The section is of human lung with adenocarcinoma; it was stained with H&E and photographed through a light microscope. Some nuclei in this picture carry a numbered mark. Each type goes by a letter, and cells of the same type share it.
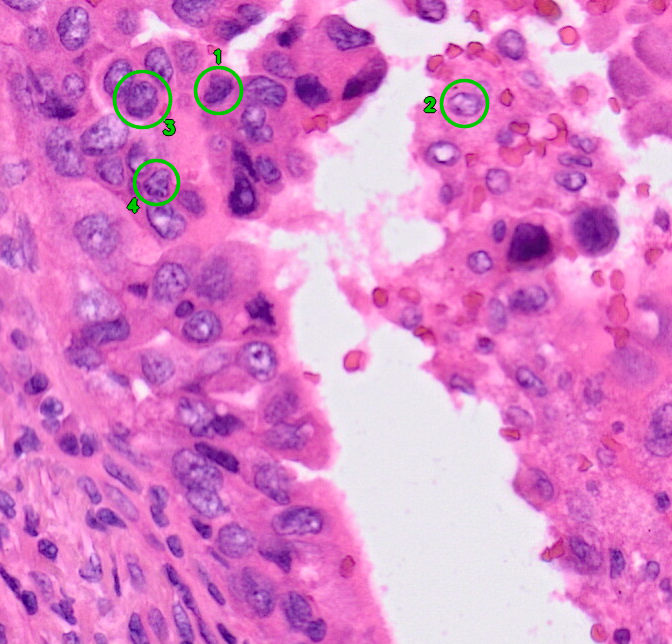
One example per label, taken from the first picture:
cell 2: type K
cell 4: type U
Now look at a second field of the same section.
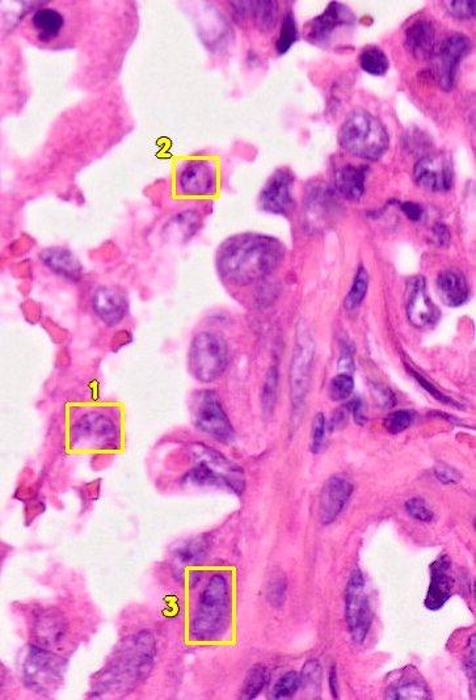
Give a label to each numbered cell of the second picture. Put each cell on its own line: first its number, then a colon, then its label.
1: type K
2: type K
3: type U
